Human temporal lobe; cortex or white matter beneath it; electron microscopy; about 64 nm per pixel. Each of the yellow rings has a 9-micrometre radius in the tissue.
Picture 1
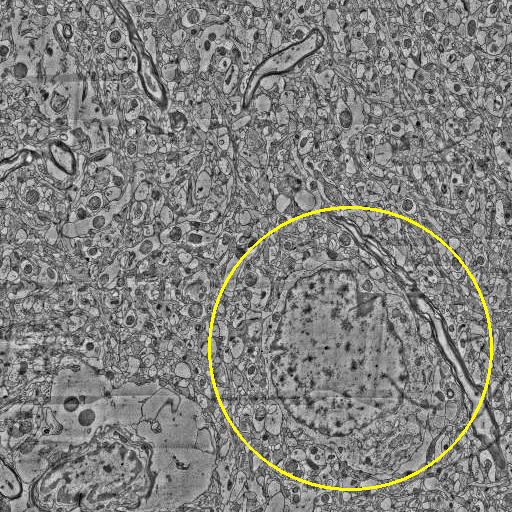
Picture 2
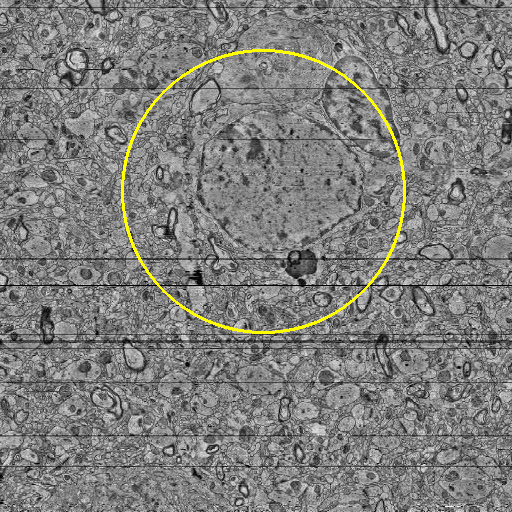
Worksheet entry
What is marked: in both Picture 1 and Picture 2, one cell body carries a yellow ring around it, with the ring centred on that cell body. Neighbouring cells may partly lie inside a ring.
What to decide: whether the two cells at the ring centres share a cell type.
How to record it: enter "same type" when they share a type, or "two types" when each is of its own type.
two types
